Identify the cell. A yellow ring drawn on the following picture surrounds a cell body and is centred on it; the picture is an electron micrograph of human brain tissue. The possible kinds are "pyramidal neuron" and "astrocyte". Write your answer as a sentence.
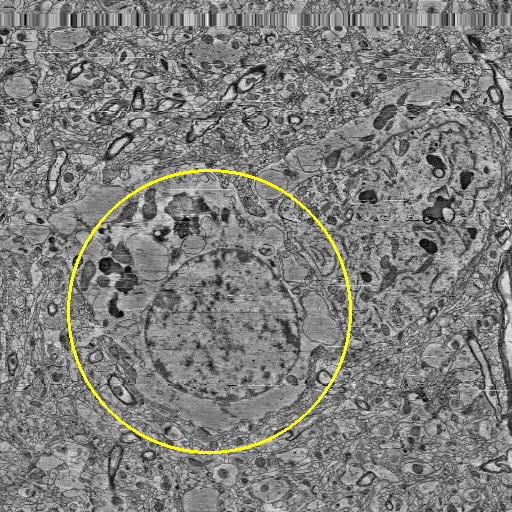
The cell identified by the ring is an astrocyte.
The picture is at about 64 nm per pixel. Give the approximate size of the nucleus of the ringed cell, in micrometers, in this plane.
Roughly 10 micrometers across in this plane.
